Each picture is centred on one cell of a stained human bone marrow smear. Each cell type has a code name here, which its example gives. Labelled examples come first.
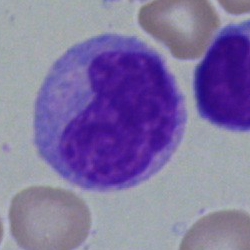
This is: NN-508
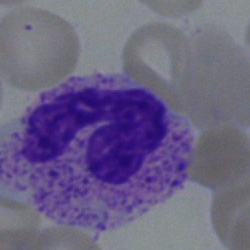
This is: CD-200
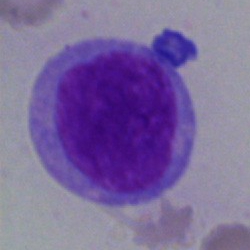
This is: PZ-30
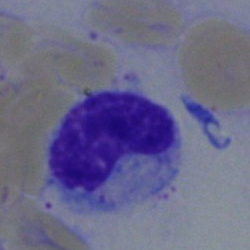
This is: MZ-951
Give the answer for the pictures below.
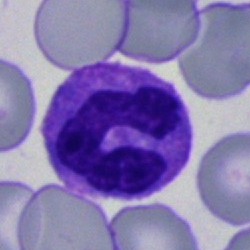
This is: CD-200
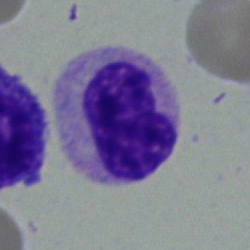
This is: CD-200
